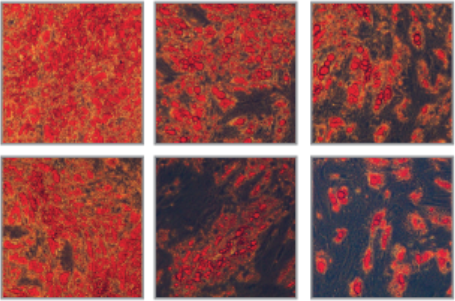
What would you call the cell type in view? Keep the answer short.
adipocytes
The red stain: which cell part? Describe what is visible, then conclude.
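Lipid droplets. Many small round red bodies fill the cytoplasm of the cells. The red bodies are clustered inside rounded cells.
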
